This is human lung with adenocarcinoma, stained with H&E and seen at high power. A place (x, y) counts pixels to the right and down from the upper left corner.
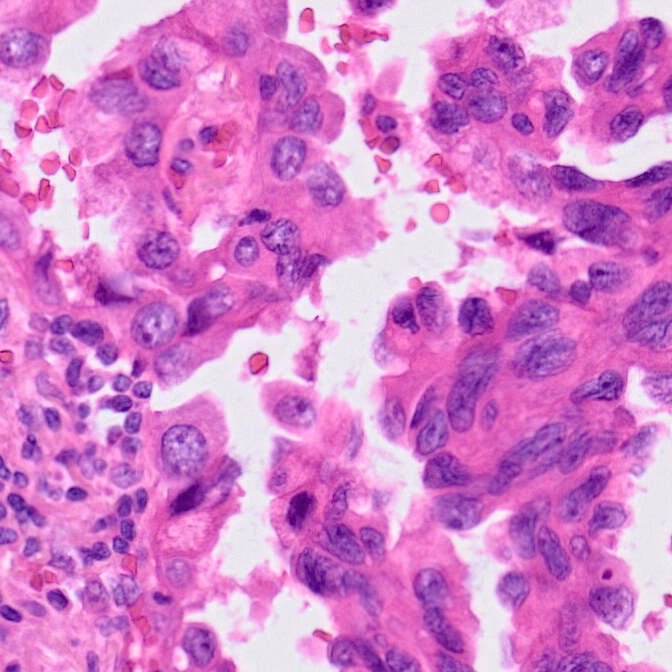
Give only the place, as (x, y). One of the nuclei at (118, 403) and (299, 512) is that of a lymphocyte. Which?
(118, 403)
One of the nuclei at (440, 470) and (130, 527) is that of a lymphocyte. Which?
(130, 527)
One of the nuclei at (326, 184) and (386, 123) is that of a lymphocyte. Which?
(386, 123)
